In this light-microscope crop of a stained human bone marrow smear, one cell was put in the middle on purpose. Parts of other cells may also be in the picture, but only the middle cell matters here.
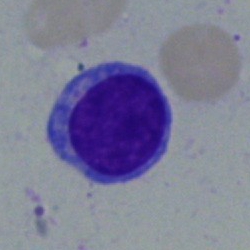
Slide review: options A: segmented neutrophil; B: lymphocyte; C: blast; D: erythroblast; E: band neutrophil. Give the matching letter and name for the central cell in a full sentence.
The correct option, B, names the middle cell as a lymphocyte.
